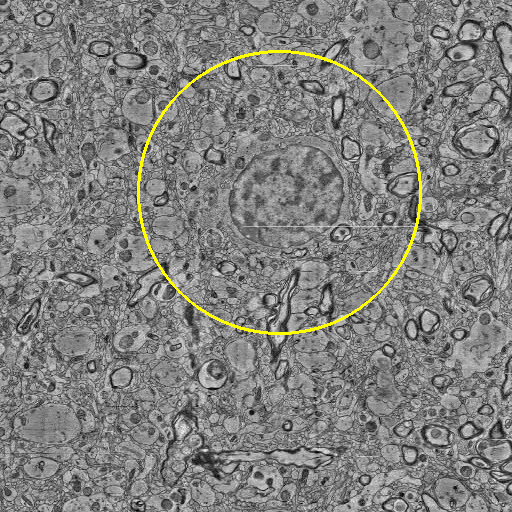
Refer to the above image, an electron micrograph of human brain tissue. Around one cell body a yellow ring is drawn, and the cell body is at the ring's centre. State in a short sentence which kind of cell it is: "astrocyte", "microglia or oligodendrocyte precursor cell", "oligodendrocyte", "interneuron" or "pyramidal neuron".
The centre of the ring falls on an oligodendrocyte.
